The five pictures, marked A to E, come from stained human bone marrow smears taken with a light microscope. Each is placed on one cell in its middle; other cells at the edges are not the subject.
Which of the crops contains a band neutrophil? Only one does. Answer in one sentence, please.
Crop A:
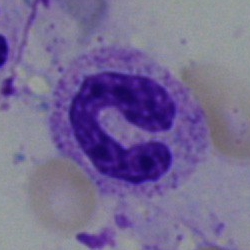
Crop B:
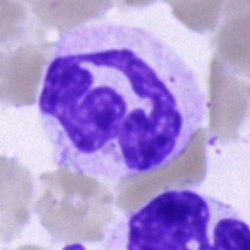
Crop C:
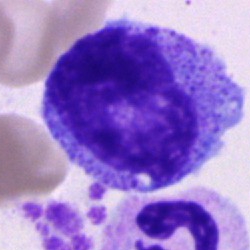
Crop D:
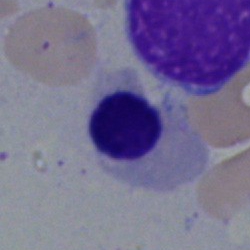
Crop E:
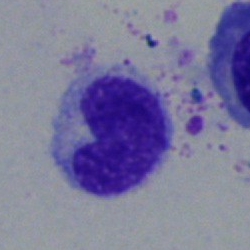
Identified crop: A, the one that shows a band neutrophil.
